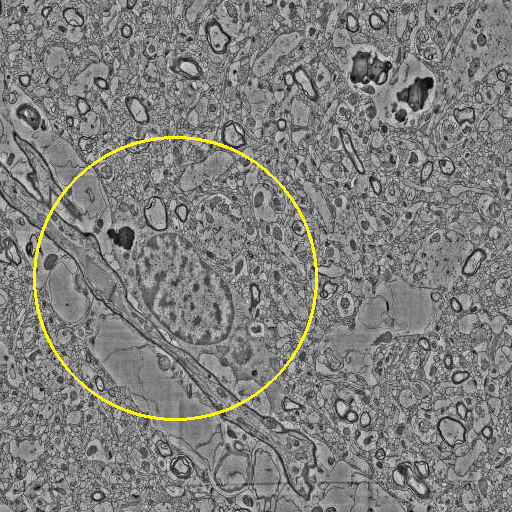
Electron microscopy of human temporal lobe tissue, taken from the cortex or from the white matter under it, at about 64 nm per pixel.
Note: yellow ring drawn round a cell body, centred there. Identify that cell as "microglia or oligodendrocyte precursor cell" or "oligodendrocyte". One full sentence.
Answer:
The cell in the middle of the ring is an oligodendrocyte.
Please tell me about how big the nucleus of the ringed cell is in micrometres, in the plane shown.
About 8 by 5 micrometres, the nucleus being clearly longer than it is wide in this plane.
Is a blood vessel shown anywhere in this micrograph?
Yes, there is a blood vessel.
